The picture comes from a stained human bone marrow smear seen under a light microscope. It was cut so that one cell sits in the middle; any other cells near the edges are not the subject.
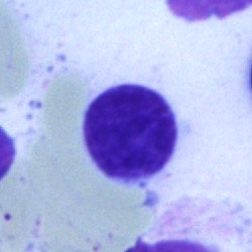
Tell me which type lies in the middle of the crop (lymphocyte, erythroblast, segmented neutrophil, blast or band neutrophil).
lymphocyte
